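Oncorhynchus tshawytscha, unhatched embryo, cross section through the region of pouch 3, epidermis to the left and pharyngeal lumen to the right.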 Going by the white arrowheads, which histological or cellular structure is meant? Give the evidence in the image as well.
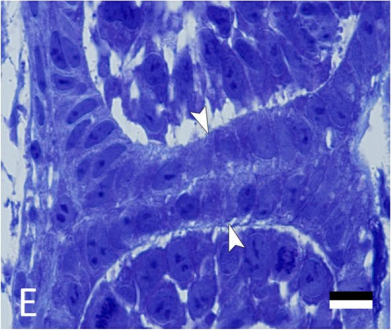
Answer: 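Two apposed rows of cuboidal cells lie between the arrowheads. No open lumen separates the two rows. So: a double layer of cuboidal endodermal cells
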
